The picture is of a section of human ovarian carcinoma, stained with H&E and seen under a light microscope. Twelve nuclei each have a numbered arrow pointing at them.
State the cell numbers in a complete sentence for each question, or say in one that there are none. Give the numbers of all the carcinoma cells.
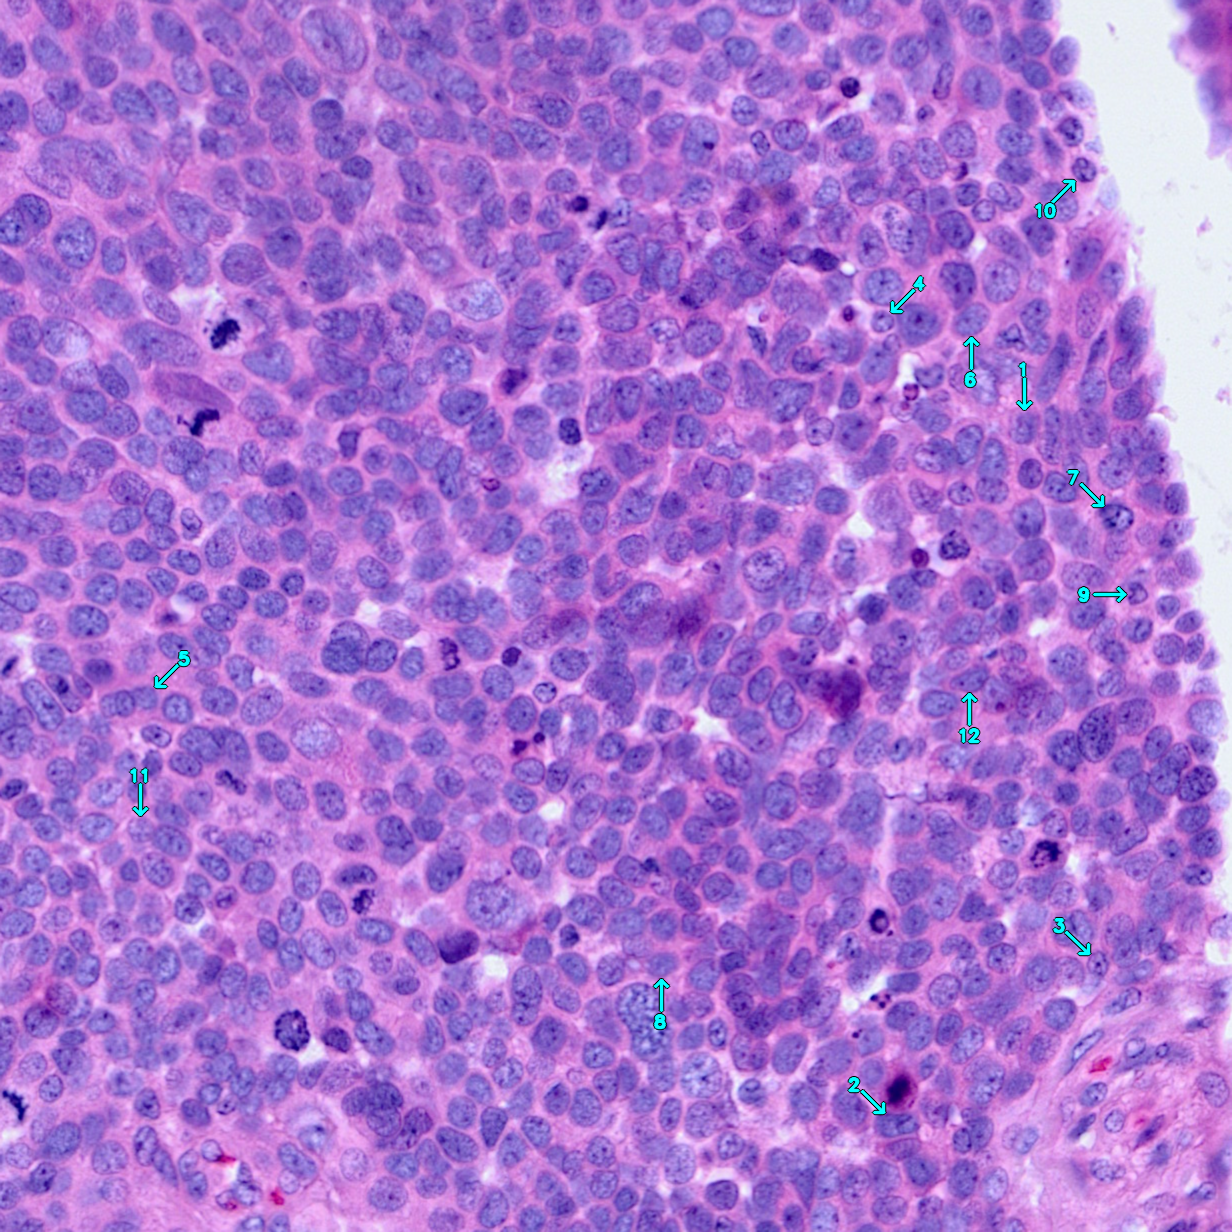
When it comes to cells 1, 2, 5, 6, 8, 11 and 12, they are carcinoma cells.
